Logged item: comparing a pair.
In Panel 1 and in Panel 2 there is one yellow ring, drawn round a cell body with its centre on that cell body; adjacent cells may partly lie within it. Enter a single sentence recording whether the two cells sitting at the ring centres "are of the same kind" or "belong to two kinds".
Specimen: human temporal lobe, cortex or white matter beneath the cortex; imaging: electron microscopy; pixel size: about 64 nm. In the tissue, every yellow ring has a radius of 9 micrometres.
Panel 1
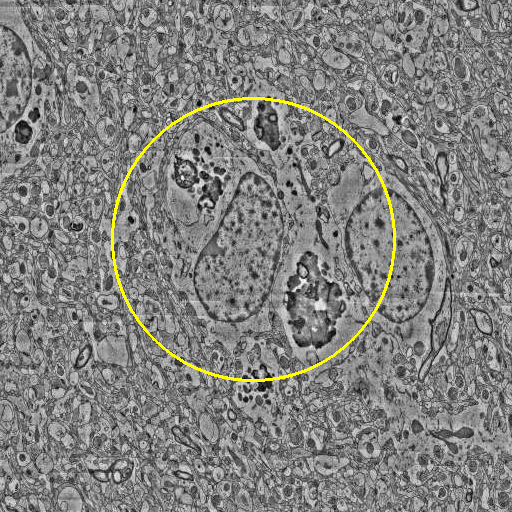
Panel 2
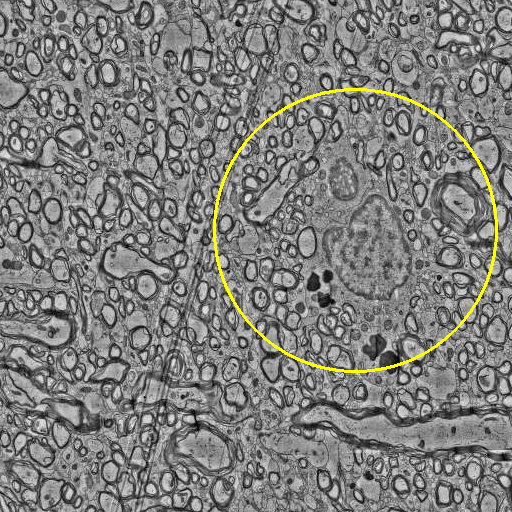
Logged: the cells centred in the rings of Panel 1 and Panel 2 belong to two kinds.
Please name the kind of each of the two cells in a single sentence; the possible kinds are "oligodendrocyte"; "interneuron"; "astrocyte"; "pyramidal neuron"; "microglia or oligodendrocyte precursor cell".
In the first picture the ring is centred on an astrocyte, and in the second on an oligodendrocyte.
